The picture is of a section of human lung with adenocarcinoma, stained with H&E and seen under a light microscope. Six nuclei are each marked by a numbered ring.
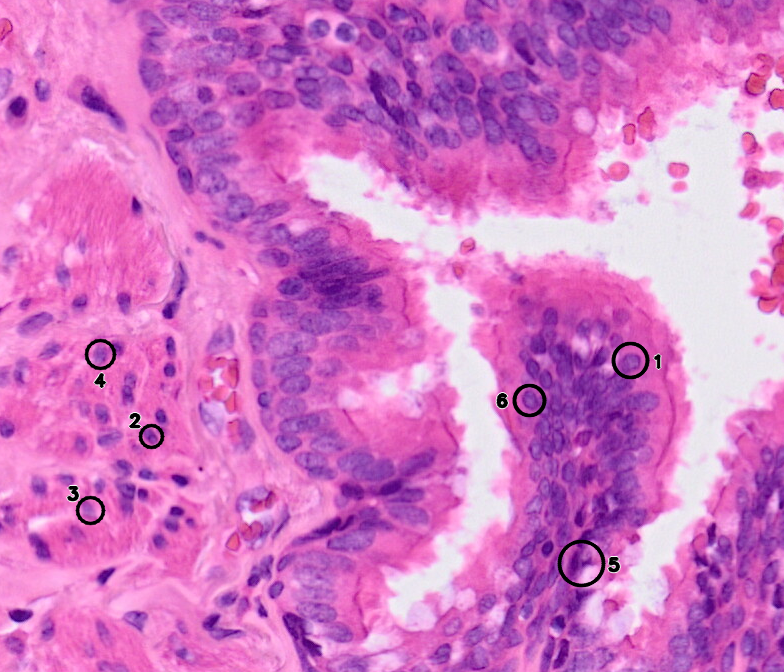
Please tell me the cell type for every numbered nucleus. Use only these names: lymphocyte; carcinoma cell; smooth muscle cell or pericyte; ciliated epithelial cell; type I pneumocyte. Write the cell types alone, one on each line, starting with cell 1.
ciliated epithelial cell
smooth muscle cell or pericyte
smooth muscle cell or pericyte
smooth muscle cell or pericyte
ciliated epithelial cell
ciliated epithelial cell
